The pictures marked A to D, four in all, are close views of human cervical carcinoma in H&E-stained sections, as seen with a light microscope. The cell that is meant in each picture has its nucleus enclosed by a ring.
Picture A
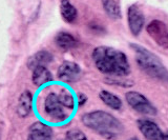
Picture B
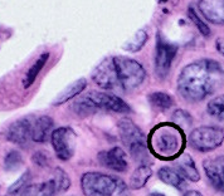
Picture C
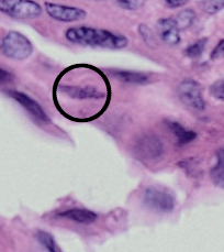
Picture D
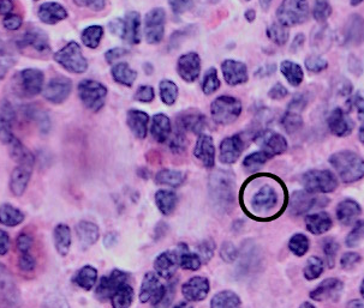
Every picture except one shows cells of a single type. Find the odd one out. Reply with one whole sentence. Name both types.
The others show squamous carcinoma cells, but picture D shows a lymphocyte.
